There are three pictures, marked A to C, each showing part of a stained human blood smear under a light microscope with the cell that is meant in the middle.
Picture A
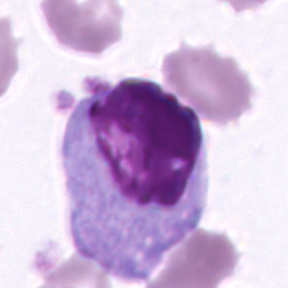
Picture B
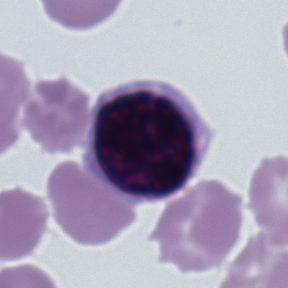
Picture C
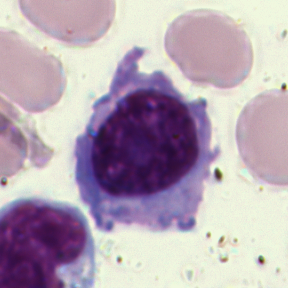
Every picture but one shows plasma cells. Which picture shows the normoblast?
B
